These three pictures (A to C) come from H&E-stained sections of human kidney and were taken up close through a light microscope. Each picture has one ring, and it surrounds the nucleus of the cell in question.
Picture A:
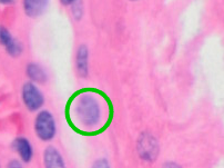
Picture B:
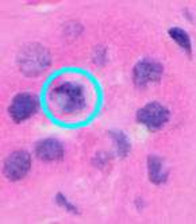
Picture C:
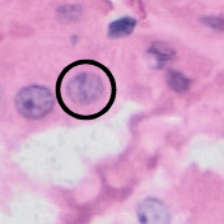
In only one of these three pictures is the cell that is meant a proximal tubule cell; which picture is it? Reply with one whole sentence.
The picture with the proximal tubule cell is C.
